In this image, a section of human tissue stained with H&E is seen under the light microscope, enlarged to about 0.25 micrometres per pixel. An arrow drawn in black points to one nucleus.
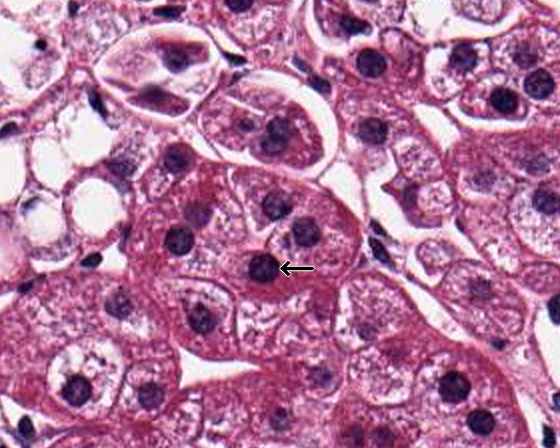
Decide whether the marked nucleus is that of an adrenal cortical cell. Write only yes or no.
yes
